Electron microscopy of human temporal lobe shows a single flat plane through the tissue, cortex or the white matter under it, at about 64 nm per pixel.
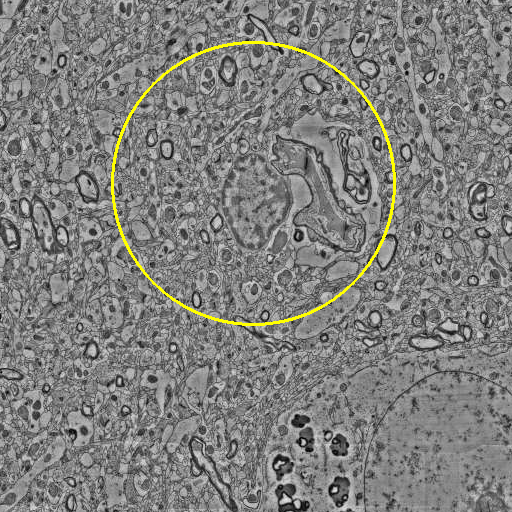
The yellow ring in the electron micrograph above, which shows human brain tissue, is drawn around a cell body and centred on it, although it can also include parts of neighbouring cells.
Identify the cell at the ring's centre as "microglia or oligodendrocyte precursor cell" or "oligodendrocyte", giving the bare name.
oligodendrocyte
